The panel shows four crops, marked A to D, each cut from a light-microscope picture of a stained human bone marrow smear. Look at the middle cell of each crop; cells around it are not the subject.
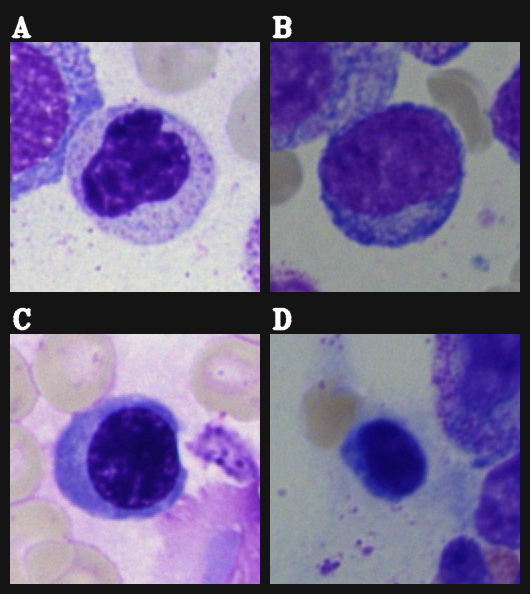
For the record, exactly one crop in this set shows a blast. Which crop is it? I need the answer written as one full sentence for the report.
The one showing a blast is crop B.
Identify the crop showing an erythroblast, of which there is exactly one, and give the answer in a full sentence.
Of the labelled crops, the one that shows an erythroblast is crop C.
